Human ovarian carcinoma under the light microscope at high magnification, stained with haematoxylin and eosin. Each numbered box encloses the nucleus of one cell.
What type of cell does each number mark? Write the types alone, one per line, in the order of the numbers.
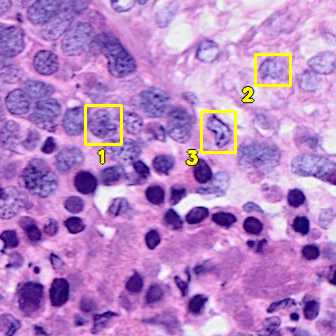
carcinoma cell
fibroblast
macrophage or monocyte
